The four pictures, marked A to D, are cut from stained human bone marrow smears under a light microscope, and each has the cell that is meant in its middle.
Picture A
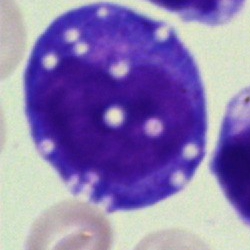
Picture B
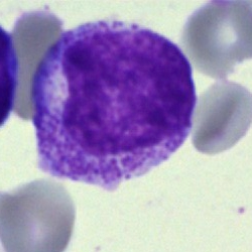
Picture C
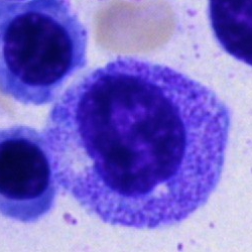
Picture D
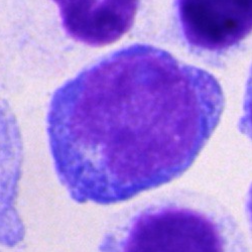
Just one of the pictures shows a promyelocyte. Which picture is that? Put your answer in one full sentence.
The picture with the promyelocyte is C.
